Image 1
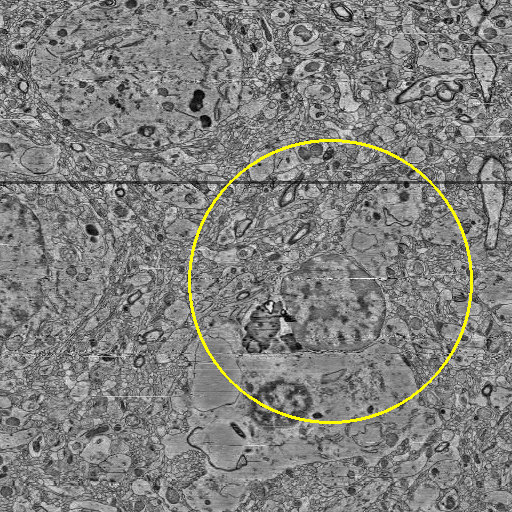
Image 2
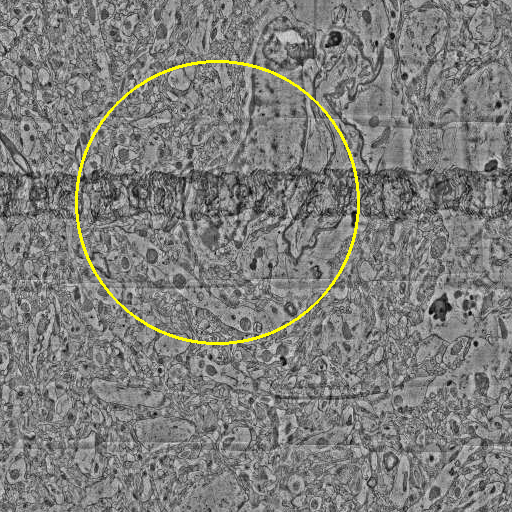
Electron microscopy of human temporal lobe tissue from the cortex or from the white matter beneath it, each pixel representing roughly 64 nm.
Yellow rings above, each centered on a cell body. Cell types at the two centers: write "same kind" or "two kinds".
same kind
